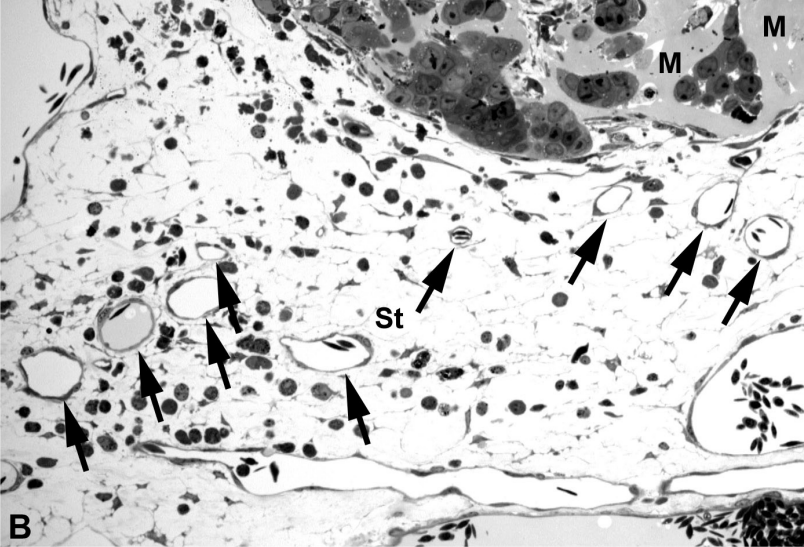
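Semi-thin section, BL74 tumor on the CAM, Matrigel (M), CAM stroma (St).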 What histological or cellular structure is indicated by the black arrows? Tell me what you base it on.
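Each arrow points to a round or oval lumen lined by a thin wall. Some of these lumens contain small elongated dark cells.
Answer: blood vessels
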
